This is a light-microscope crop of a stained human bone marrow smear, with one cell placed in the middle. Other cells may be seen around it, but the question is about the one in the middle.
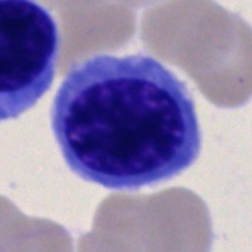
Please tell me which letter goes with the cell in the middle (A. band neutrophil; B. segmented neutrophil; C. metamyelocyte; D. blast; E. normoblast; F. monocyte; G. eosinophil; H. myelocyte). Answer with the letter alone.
E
